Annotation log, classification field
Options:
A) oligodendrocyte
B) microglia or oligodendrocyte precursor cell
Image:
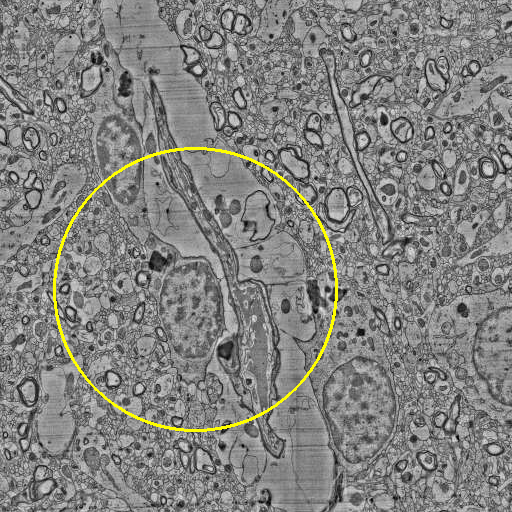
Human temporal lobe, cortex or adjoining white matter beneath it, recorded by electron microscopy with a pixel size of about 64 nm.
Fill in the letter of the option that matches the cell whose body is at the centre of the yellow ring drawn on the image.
A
